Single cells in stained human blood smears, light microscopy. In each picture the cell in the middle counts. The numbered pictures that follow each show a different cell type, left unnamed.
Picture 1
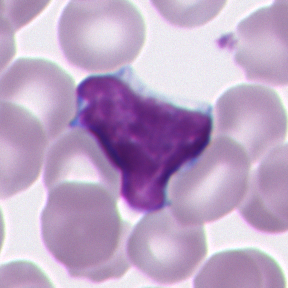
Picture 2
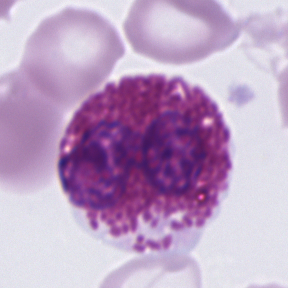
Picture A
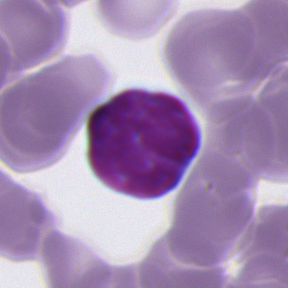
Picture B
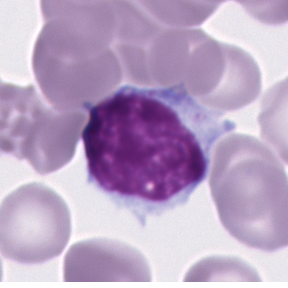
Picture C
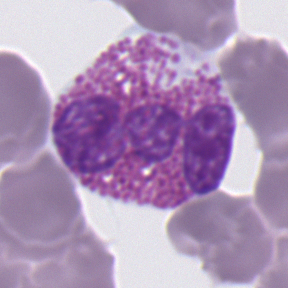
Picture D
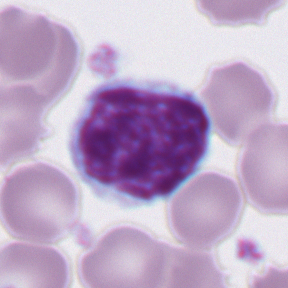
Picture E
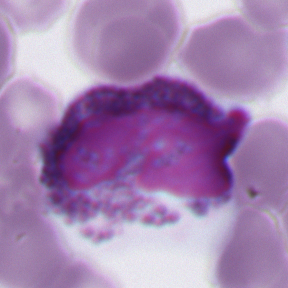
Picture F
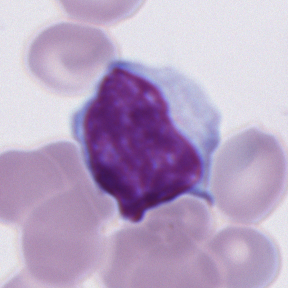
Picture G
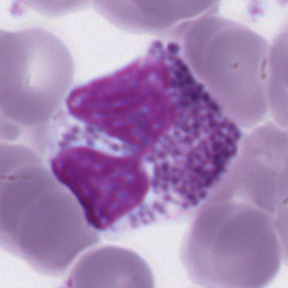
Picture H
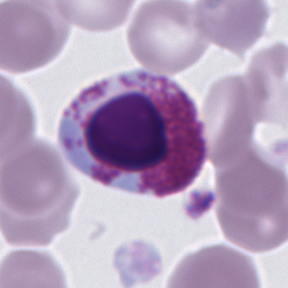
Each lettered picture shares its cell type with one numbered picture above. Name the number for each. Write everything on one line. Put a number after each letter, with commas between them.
A 1, B 1, C 2, D 1, E 2, F 1, G 2, H 2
